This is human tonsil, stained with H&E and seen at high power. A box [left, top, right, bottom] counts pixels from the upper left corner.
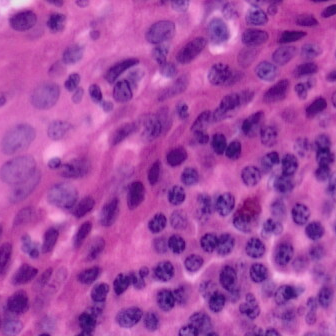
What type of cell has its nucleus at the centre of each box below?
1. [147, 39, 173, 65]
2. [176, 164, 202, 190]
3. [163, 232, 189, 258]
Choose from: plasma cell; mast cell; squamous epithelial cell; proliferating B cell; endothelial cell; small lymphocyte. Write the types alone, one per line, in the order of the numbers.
squamous epithelial cell
plasma cell
plasma cell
